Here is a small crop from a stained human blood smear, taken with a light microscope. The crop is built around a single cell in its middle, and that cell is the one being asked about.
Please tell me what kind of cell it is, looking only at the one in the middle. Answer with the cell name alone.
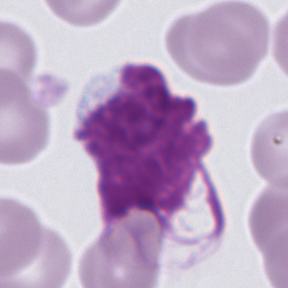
smudge cell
